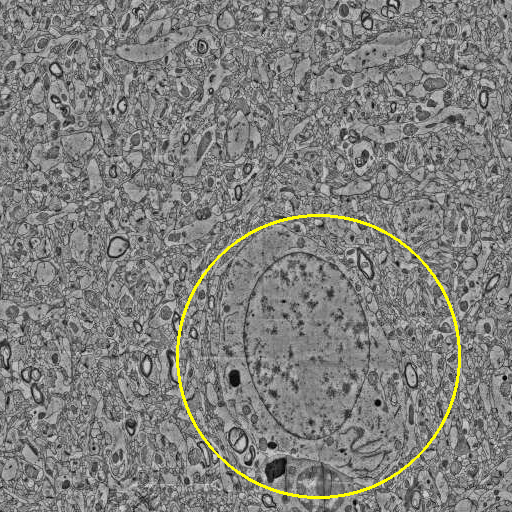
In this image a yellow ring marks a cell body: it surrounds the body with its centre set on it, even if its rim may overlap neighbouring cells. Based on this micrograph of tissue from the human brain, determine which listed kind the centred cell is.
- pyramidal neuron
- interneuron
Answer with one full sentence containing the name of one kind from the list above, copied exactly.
It is a pyramidal neuron whose body the yellow ring encloses at its centre.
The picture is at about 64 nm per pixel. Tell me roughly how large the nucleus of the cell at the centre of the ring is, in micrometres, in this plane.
In this plane, about 12 micrometres in length and 8 in width.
